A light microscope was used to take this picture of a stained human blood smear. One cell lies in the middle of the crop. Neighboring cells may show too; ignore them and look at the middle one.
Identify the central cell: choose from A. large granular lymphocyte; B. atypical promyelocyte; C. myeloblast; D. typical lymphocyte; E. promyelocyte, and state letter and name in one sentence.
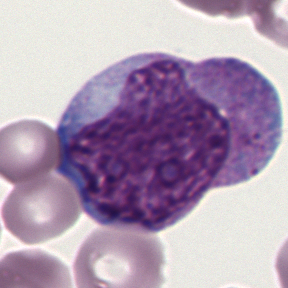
That cell in the center is an atypical promyelocyte, hence option B.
